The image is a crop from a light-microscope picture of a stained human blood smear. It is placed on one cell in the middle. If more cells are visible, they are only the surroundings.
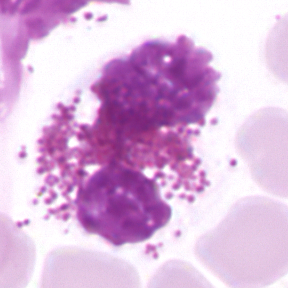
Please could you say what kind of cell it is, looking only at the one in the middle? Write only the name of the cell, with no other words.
eosinophil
